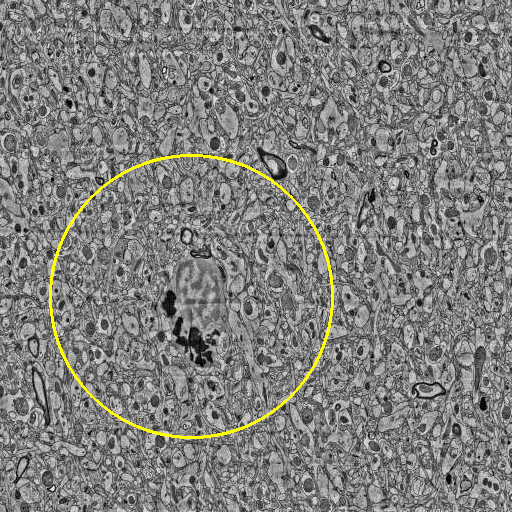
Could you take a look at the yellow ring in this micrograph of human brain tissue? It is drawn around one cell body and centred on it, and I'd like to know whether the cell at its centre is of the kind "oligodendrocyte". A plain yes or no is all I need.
yes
